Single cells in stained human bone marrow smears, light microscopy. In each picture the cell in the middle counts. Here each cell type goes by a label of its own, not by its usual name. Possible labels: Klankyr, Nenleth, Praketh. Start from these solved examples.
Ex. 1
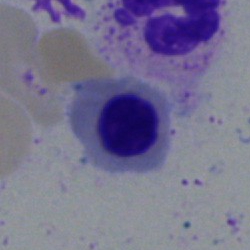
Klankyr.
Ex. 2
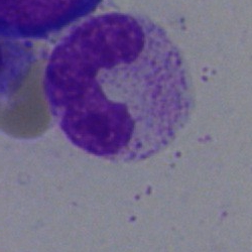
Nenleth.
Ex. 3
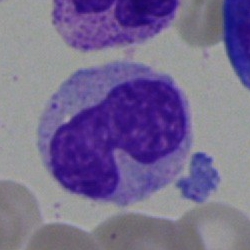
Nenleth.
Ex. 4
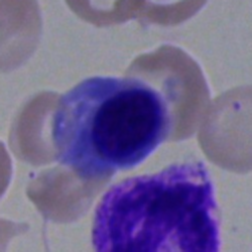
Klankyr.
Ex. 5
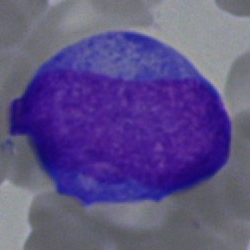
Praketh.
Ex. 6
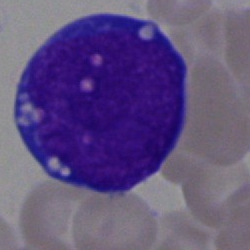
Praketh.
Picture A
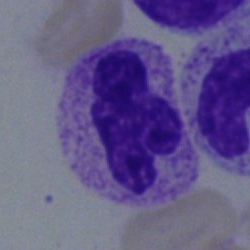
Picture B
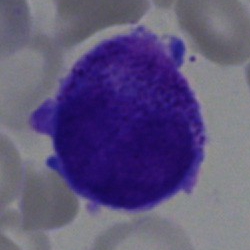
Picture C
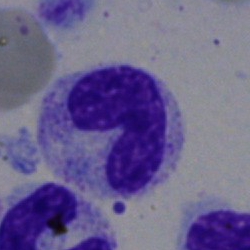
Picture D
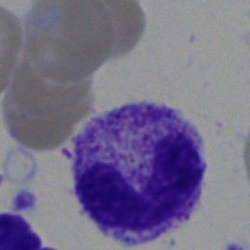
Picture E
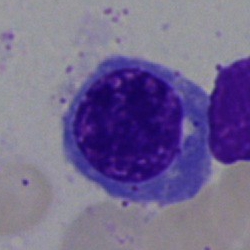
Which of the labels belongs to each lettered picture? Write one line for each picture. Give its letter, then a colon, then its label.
A: Nenleth.
B: Praketh.
C: Nenleth.
D: Nenleth.
E: Klankyr.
